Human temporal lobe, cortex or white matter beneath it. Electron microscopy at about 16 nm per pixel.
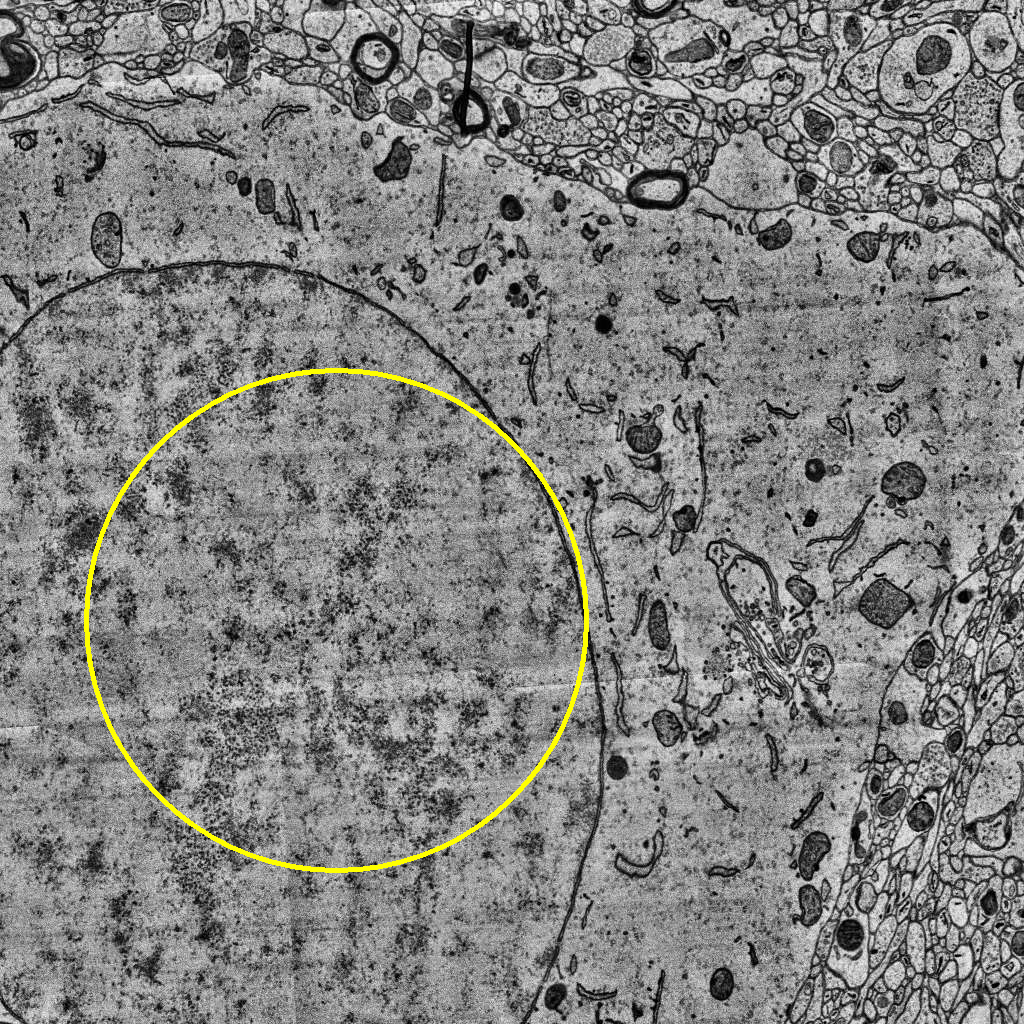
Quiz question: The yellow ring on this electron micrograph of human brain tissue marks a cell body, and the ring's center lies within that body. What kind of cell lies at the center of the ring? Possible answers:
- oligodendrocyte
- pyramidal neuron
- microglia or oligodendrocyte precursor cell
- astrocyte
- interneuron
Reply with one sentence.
The ring's center lies on a pyramidal neuron.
